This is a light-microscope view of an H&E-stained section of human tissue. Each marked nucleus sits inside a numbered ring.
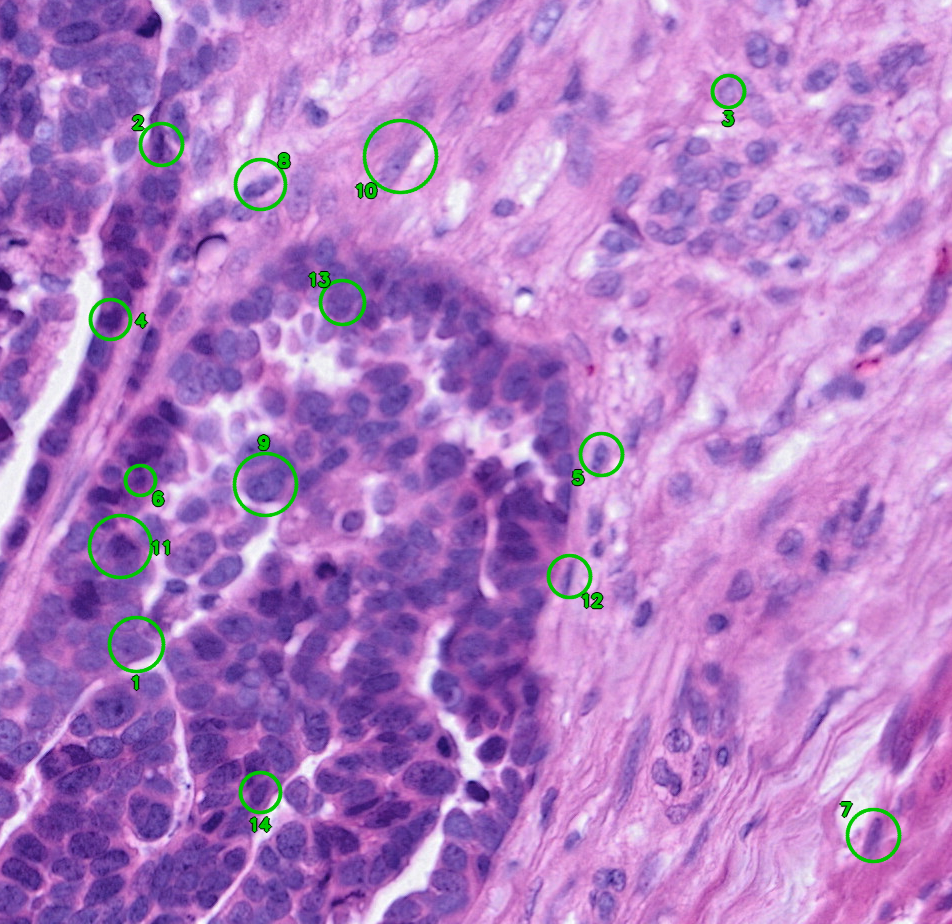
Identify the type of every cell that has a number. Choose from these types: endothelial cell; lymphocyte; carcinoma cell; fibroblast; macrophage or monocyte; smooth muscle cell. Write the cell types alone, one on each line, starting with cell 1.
carcinoma cell
carcinoma cell
fibroblast
carcinoma cell
macrophage or monocyte
carcinoma cell
smooth muscle cell
macrophage or monocyte
carcinoma cell
fibroblast
carcinoma cell
macrophage or monocyte
carcinoma cell
carcinoma cell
